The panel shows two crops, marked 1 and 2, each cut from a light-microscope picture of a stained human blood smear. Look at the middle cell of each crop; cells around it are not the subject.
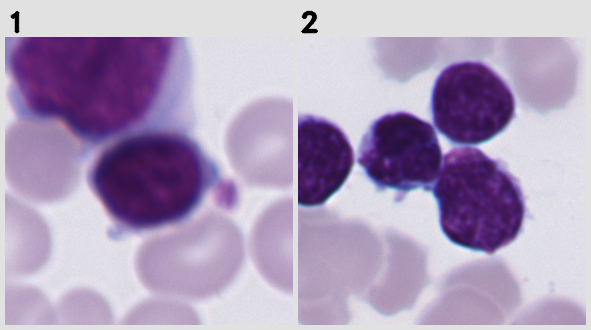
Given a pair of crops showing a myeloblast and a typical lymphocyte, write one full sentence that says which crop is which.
Displayed in crop 1 is a typical lymphocyte, while crop 2 displays a myeloblast.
